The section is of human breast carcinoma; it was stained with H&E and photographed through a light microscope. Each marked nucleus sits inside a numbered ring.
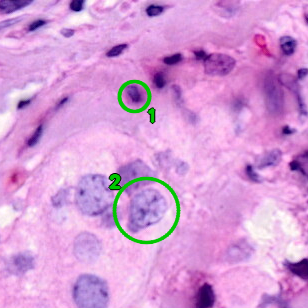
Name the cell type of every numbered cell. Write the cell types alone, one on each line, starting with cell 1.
mast cell
carcinoma cell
